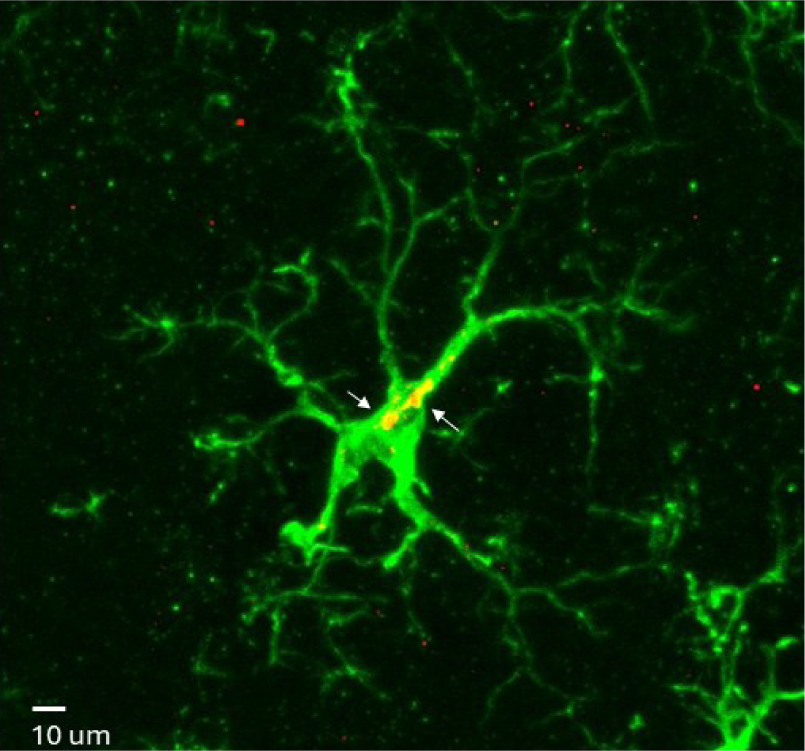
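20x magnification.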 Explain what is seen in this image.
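A single microglia, green, with a small irregular soma from which many long, thin, repeatedly branching processes spread across the field. Two small yellow-orange inclusions lie within the cell body, with fine red dots scattered sparsely through the surrounding dark background. Processes of neighbouring microglia enter the field at its edges.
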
